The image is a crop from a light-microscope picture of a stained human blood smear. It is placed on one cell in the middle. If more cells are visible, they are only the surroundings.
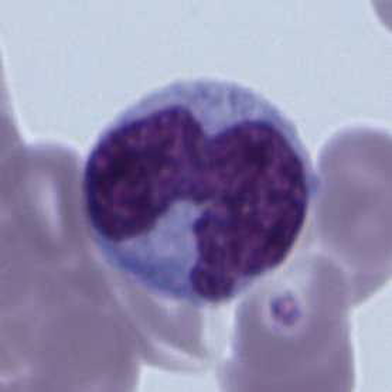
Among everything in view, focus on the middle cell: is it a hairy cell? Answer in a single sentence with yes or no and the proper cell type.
No, the cell at the centre is identified as a monocyte, not as a hairy cell.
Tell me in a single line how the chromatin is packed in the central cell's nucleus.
Coarse clumps are absent, and the chromatin is fine throughout.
